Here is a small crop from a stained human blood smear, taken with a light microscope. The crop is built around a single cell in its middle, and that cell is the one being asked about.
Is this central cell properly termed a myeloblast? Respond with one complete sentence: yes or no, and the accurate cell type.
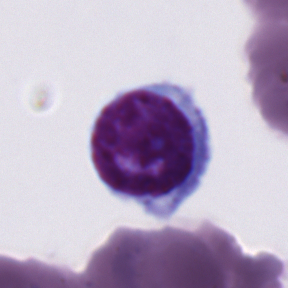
No, the middle of the crop holds a hairy cell, not a myeloblast.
